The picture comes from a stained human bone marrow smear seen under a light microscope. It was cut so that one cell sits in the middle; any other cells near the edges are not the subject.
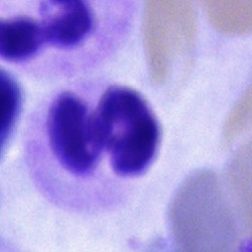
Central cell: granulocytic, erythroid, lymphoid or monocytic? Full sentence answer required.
The cell found in the middle of this crop is granulocytic in lineage.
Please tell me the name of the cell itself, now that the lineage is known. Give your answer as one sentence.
Here the centrally located cell is a segmented neutrophil.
